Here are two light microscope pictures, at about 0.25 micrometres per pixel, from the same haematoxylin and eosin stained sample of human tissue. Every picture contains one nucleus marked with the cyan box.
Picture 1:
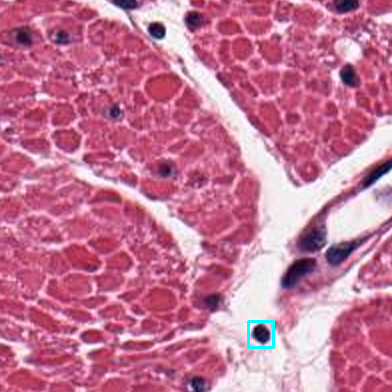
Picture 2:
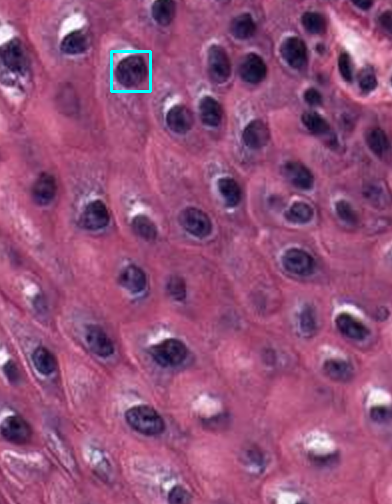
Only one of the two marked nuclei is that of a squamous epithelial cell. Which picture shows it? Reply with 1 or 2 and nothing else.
2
